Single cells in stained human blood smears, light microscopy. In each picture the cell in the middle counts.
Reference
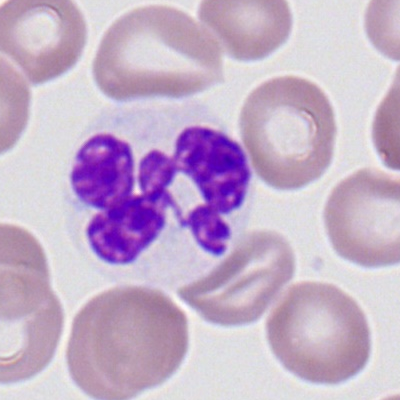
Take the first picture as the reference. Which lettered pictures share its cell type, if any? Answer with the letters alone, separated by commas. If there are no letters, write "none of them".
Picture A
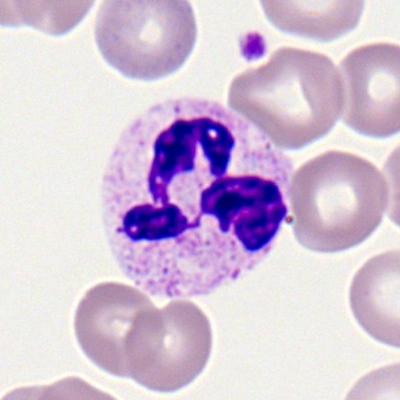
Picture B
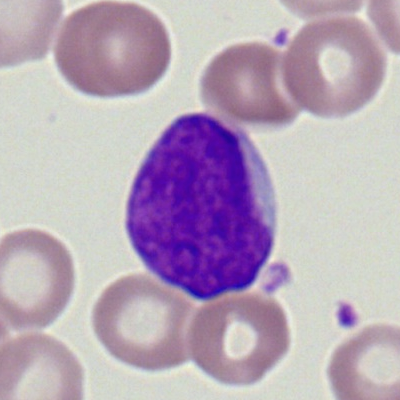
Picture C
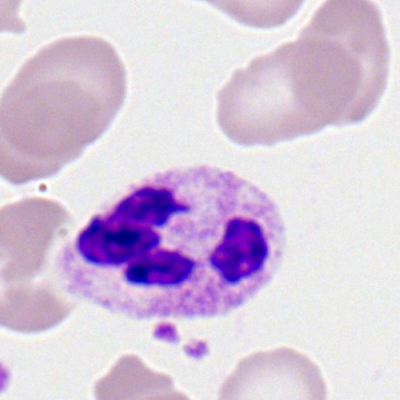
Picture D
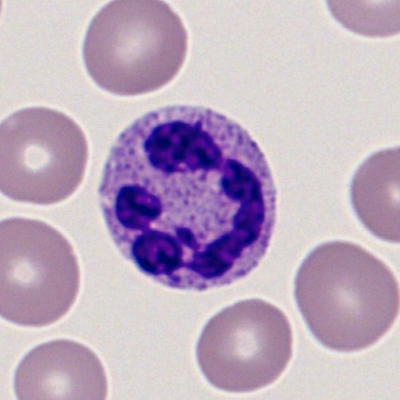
A, C, D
